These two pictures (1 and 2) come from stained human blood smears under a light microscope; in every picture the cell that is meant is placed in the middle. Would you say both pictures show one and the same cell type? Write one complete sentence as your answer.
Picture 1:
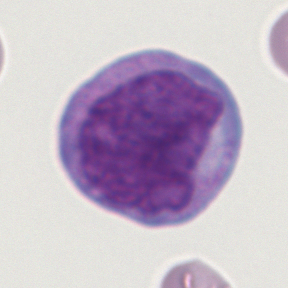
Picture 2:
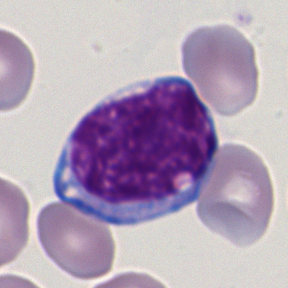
No, the types are not the same, since picture 1 shows an atypical promyelocyte and picture 2 a myeloblast.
